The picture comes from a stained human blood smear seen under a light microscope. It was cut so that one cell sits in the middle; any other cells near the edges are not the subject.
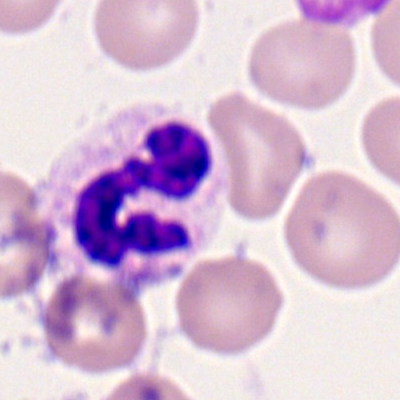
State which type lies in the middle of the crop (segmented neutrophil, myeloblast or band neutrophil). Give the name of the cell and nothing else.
segmented neutrophil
